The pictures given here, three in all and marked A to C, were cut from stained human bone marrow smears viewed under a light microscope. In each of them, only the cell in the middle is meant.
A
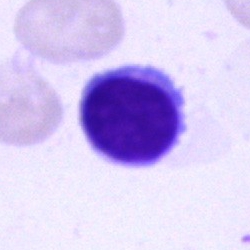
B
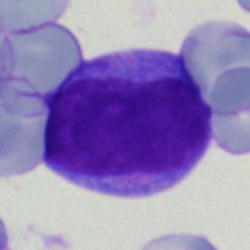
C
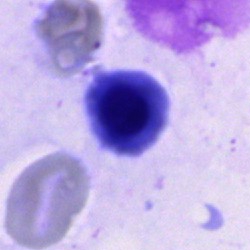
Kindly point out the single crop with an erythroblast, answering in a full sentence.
The cell identified as an erythroblast is the one in crop C.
